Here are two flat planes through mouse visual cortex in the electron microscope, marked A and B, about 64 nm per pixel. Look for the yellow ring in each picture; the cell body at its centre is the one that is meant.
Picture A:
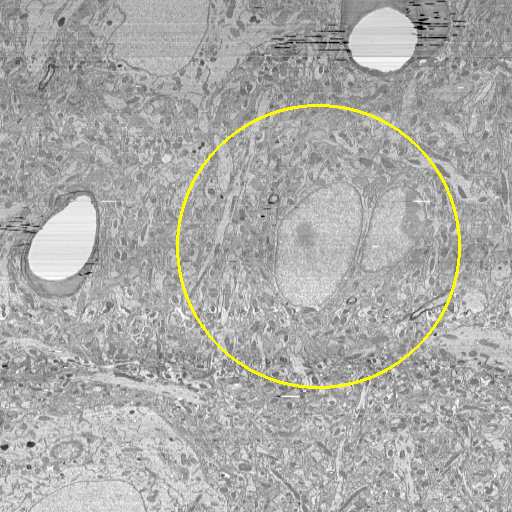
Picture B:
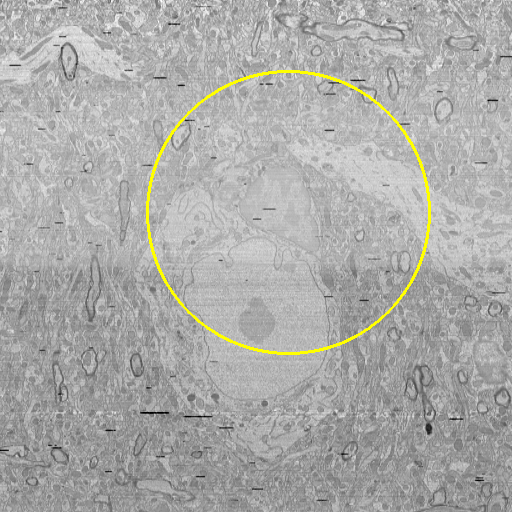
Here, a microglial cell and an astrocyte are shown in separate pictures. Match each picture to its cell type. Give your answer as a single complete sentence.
Picture A is of an astrocyte, and picture B is of a microglial cell.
